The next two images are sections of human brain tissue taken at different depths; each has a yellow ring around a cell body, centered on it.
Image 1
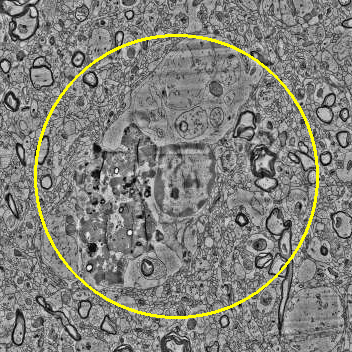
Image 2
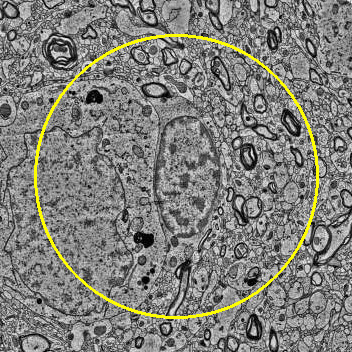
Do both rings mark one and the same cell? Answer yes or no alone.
no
